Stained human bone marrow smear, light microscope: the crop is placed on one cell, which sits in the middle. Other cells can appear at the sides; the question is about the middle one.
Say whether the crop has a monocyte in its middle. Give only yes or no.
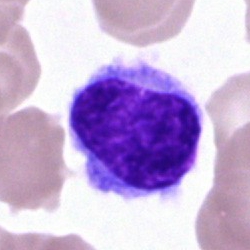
no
